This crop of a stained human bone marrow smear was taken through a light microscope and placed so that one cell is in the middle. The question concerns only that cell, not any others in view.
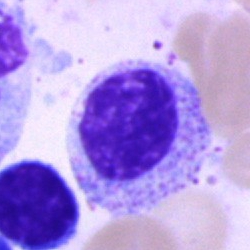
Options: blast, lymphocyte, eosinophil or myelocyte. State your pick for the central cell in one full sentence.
Positioned in the middle of the crop is a myelocyte.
